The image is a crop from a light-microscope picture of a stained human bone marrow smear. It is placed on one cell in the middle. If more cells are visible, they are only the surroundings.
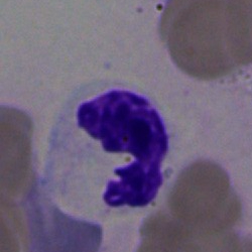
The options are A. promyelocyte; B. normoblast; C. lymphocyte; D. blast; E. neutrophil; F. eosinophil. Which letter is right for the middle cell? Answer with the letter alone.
E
